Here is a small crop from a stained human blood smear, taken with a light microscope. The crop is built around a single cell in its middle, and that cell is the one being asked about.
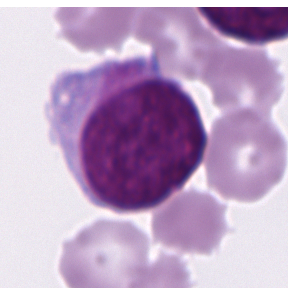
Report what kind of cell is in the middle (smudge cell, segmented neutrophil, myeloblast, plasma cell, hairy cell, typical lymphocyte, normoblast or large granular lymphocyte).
myeloblast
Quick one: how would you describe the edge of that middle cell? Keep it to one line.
A ragged or projecting edge replaces the smooth outline in this cell.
